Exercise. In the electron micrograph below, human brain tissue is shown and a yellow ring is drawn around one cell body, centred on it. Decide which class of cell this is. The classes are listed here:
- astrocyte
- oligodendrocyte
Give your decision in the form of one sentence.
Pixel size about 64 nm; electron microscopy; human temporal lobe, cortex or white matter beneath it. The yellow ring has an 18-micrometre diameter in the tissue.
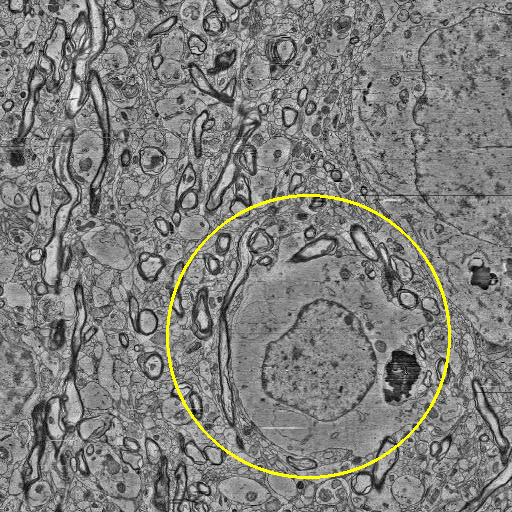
The cell body marked by the ring belongs to an astrocyte.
